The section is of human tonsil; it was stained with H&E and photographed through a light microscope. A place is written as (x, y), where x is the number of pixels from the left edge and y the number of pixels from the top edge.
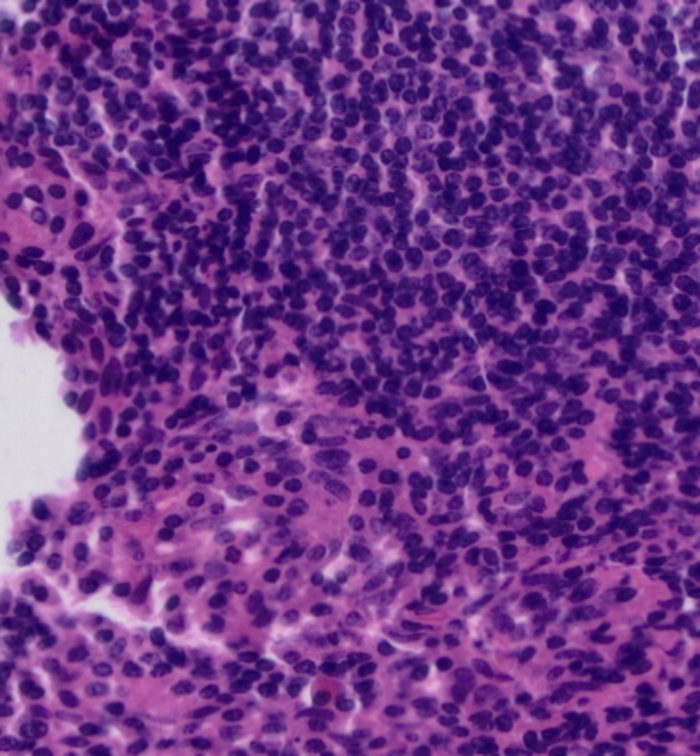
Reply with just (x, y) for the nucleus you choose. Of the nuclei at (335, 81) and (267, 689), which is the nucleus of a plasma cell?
(267, 689)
